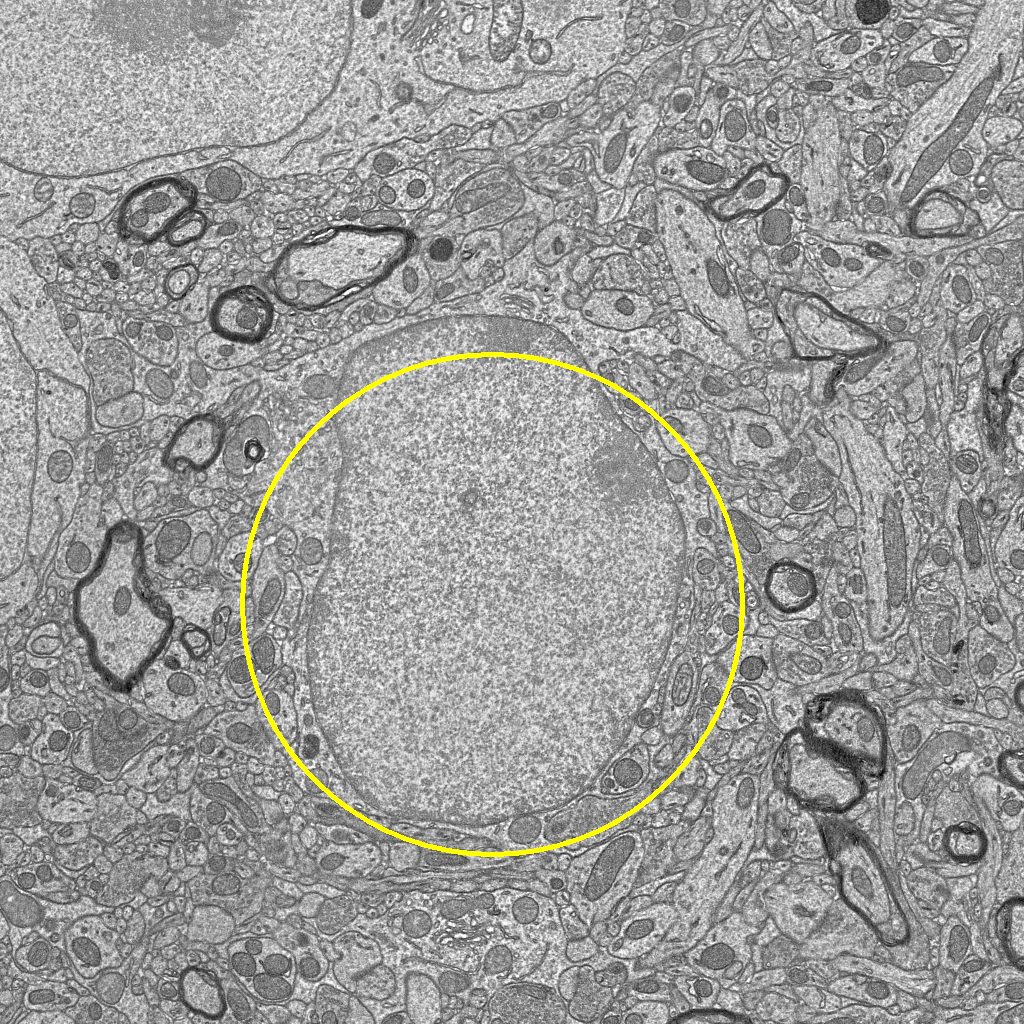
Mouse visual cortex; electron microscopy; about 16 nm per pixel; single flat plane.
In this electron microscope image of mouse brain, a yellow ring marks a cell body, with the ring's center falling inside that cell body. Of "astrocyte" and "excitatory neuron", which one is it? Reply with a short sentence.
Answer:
It is an astrocyte at the center of the ring.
